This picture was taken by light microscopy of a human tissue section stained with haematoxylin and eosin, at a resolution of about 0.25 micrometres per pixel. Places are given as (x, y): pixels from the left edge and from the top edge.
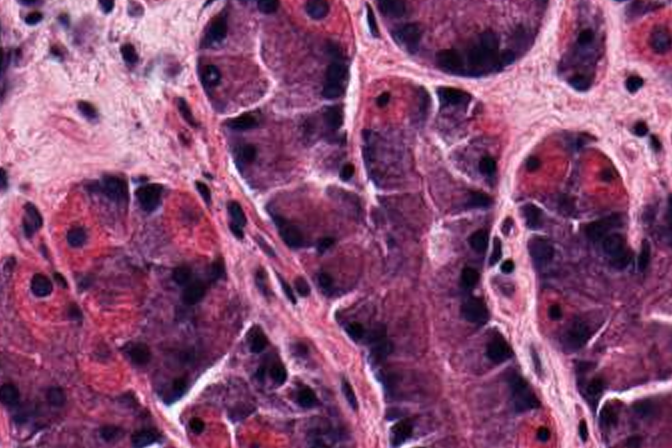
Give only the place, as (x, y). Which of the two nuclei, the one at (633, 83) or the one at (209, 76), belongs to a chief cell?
(209, 76)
